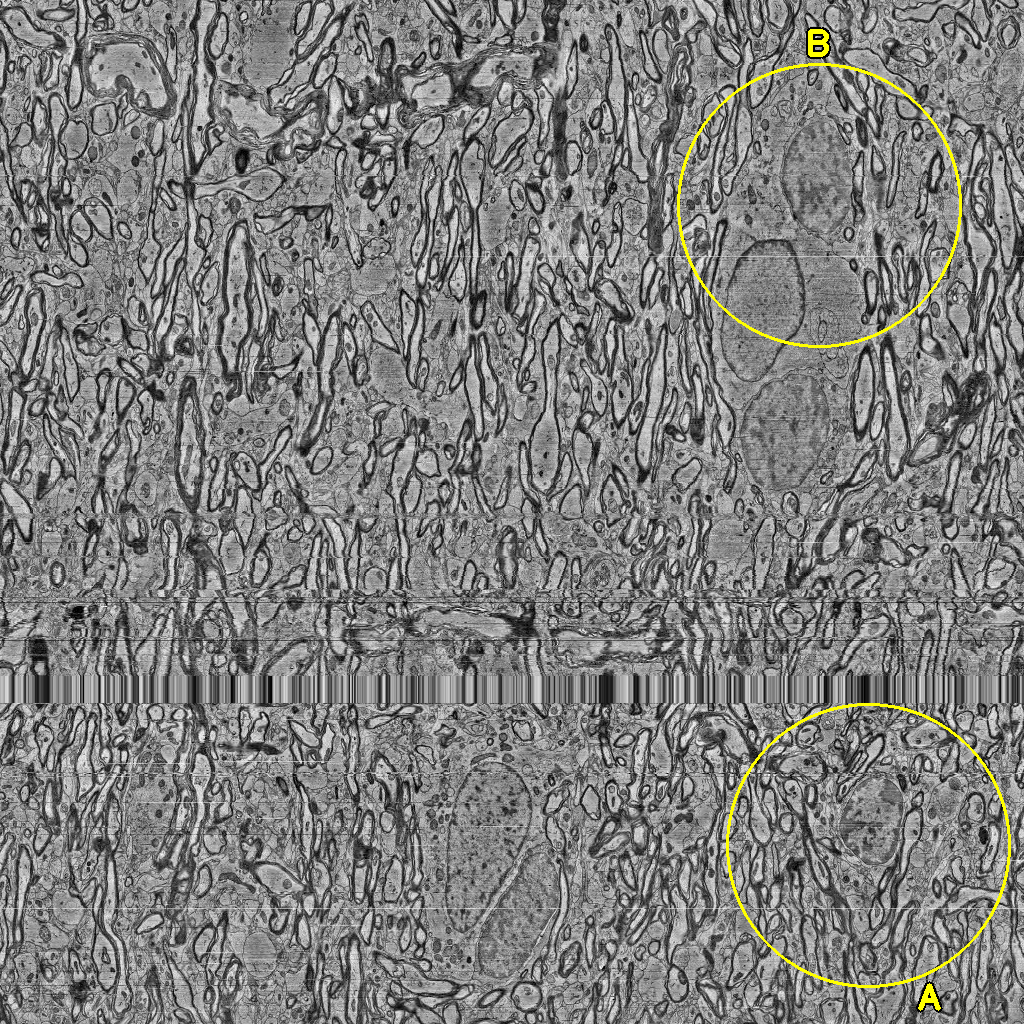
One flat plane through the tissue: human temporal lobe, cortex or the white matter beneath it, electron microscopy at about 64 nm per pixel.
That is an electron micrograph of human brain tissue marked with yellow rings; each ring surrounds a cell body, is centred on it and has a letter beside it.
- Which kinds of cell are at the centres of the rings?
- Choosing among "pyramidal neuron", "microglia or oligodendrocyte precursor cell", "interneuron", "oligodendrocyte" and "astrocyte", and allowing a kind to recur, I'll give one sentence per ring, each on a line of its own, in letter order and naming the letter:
Ring A sits around a microglial cell or oligodendrocyte precursor cell.
Ring B sits around an oligodendrocyte.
